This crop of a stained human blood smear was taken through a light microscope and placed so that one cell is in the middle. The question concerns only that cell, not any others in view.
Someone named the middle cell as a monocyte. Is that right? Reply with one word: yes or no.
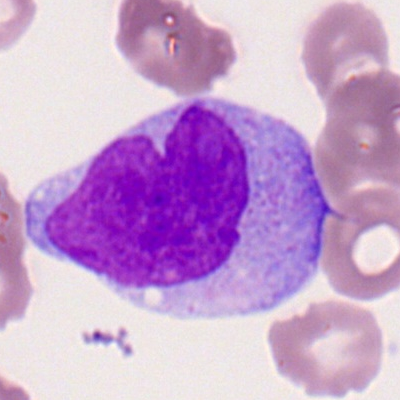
yes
